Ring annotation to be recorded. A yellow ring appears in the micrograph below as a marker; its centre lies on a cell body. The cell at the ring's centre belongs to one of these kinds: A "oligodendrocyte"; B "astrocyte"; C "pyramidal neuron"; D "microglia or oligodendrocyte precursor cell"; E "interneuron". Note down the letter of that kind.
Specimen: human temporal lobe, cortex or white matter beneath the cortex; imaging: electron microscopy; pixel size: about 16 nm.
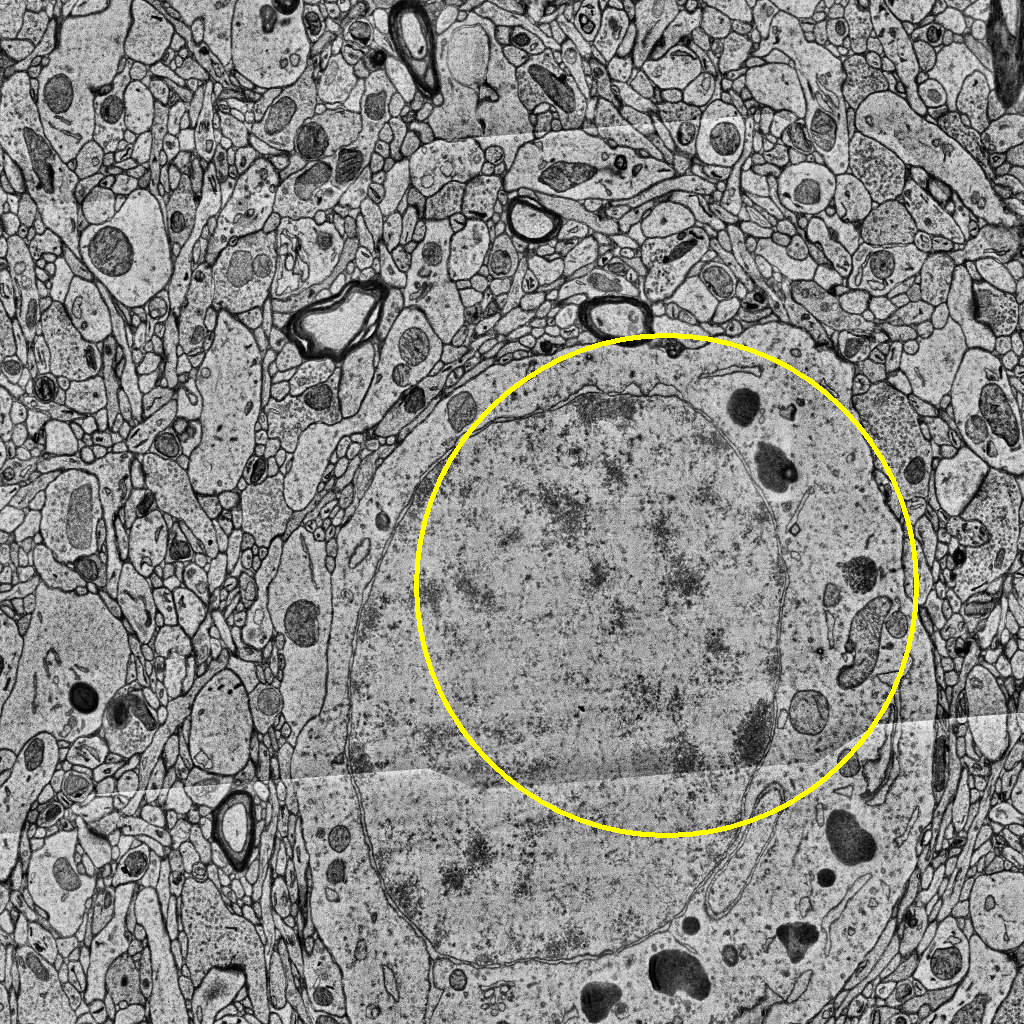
E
